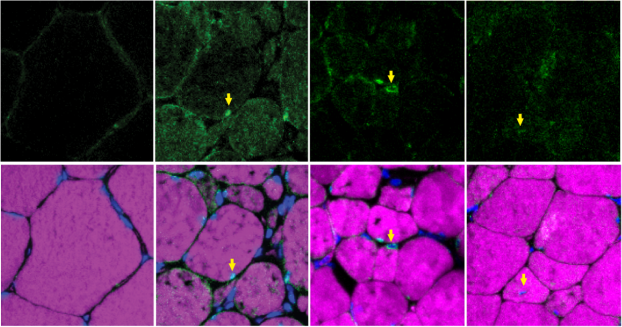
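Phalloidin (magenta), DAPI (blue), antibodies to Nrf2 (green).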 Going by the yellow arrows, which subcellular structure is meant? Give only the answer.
Myonuclei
